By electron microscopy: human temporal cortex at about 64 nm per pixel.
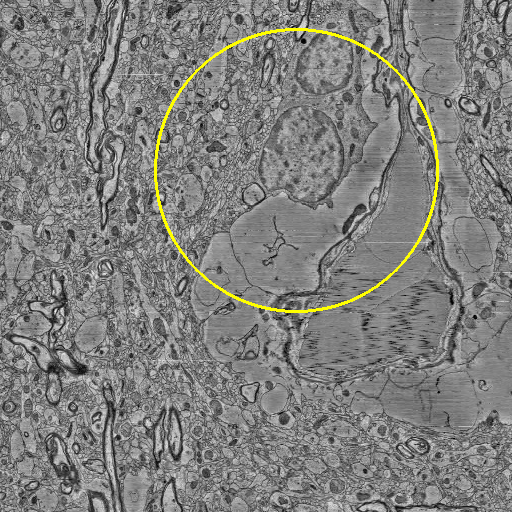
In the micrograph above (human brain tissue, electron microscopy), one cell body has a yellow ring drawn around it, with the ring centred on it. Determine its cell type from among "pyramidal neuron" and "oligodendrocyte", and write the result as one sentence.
The cell whose body is ringed is an oligodendrocyte.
